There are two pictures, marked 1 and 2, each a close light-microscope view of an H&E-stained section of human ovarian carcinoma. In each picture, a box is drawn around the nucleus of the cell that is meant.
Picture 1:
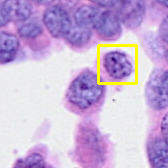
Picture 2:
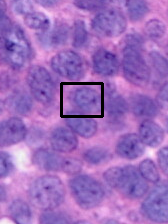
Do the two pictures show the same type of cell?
no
